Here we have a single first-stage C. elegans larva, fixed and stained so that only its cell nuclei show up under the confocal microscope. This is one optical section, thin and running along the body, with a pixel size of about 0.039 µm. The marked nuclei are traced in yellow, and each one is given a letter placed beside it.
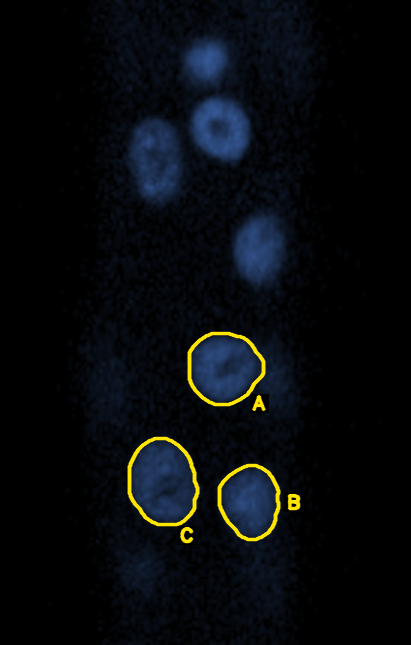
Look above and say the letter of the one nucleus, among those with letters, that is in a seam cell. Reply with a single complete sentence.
A is the one that belongs to a seam cell.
